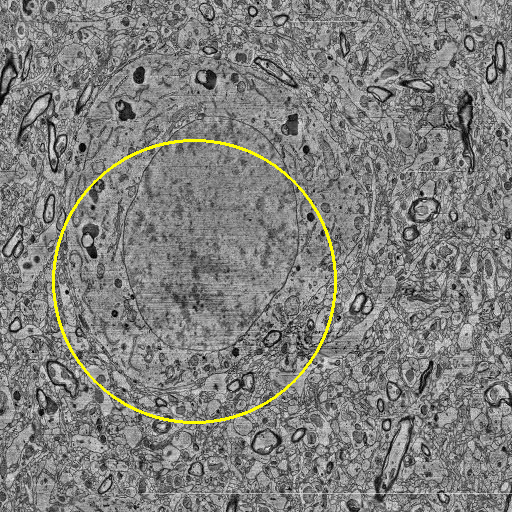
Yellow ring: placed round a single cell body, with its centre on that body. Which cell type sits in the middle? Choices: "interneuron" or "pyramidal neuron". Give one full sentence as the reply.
It is a pyramidal neuron whose cell body sits at the centre of the yellow ring.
